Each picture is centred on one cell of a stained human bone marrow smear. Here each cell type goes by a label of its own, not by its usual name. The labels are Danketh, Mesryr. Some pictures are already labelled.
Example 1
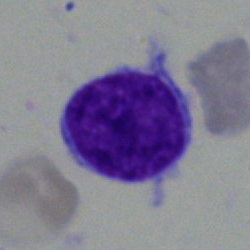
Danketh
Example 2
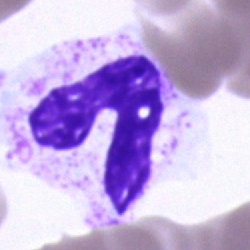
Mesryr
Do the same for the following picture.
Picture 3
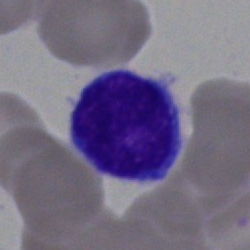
Danketh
